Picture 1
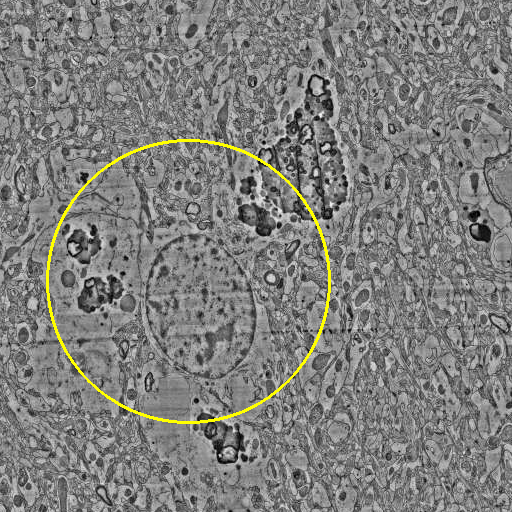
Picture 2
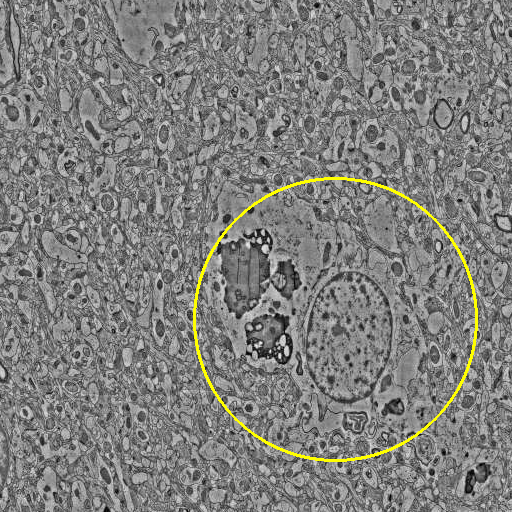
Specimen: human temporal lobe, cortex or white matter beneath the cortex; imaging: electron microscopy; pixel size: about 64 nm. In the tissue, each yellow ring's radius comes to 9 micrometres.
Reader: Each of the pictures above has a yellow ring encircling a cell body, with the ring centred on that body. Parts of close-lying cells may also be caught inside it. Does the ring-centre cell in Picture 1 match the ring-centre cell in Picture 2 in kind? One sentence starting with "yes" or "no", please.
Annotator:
Yes, Picture 1 and Picture 2 show ring-centre cells of a single kind.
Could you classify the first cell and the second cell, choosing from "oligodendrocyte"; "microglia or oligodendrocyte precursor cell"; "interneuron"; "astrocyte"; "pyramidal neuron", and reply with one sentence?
Both pictures show an astrocyte at the centre of the ring.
